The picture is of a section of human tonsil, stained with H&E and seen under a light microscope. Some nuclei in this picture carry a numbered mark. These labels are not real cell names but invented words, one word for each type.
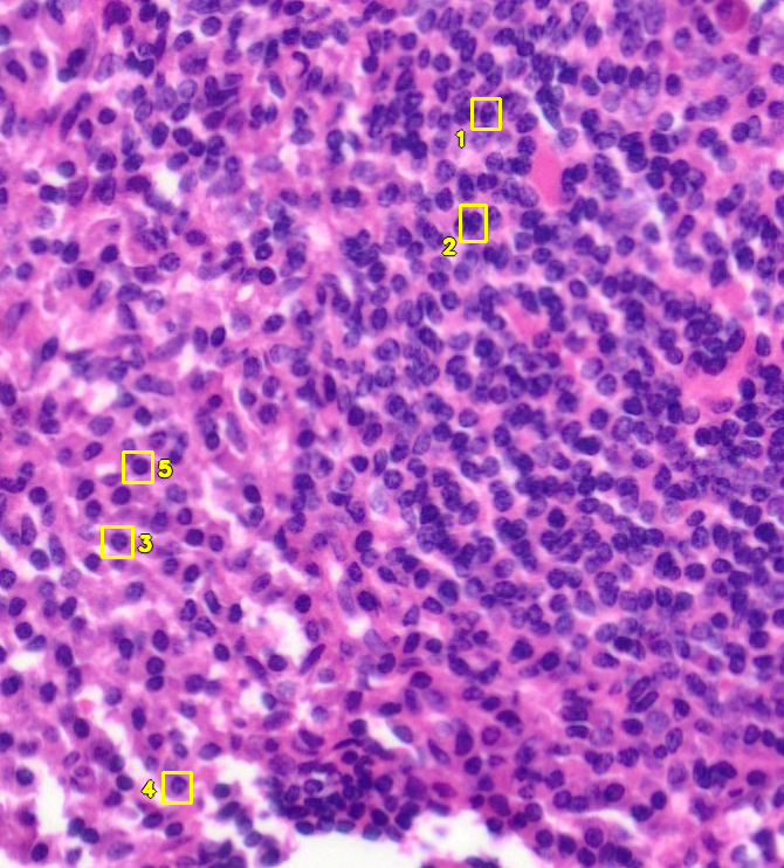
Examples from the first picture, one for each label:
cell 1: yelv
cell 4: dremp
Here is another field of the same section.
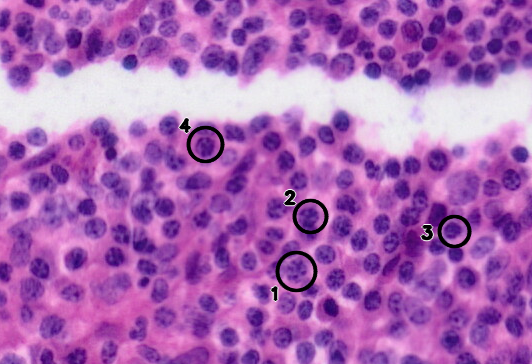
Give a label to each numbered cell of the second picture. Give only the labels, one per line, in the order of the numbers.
dremp
dremp
yelv
dremp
